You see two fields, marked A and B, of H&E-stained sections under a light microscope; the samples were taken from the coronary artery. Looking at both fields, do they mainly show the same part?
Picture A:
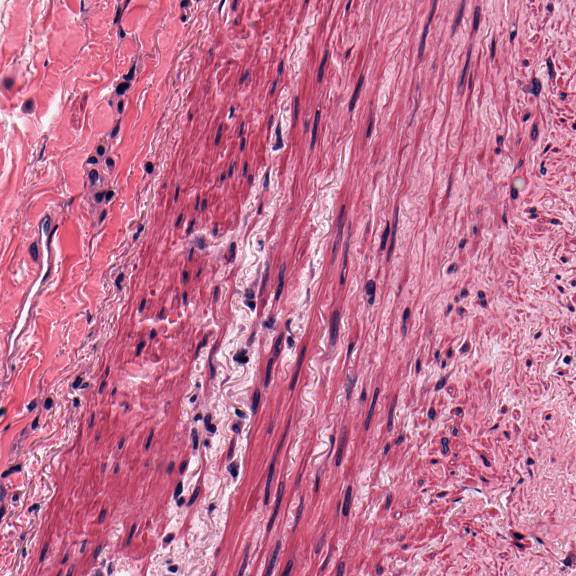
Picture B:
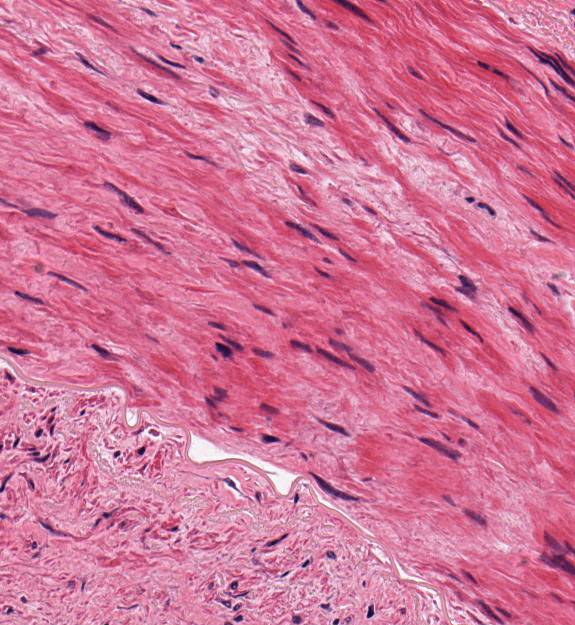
yes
